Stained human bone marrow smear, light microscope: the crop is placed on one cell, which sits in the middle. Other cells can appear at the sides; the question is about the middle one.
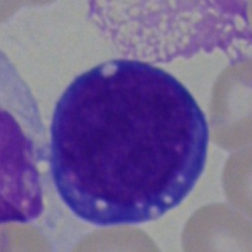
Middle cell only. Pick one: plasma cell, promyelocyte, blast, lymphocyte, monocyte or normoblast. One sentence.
What sits at the centre of this crop is a blast.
